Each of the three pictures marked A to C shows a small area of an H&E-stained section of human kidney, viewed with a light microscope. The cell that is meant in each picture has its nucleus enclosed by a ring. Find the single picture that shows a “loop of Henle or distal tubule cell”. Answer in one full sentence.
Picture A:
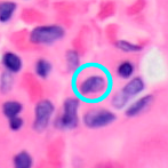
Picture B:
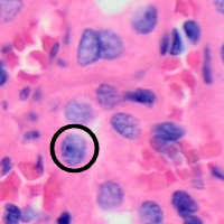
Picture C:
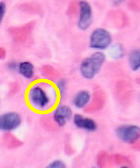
The cell in picture B is the “loop of Henle or distal tubule cell”.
